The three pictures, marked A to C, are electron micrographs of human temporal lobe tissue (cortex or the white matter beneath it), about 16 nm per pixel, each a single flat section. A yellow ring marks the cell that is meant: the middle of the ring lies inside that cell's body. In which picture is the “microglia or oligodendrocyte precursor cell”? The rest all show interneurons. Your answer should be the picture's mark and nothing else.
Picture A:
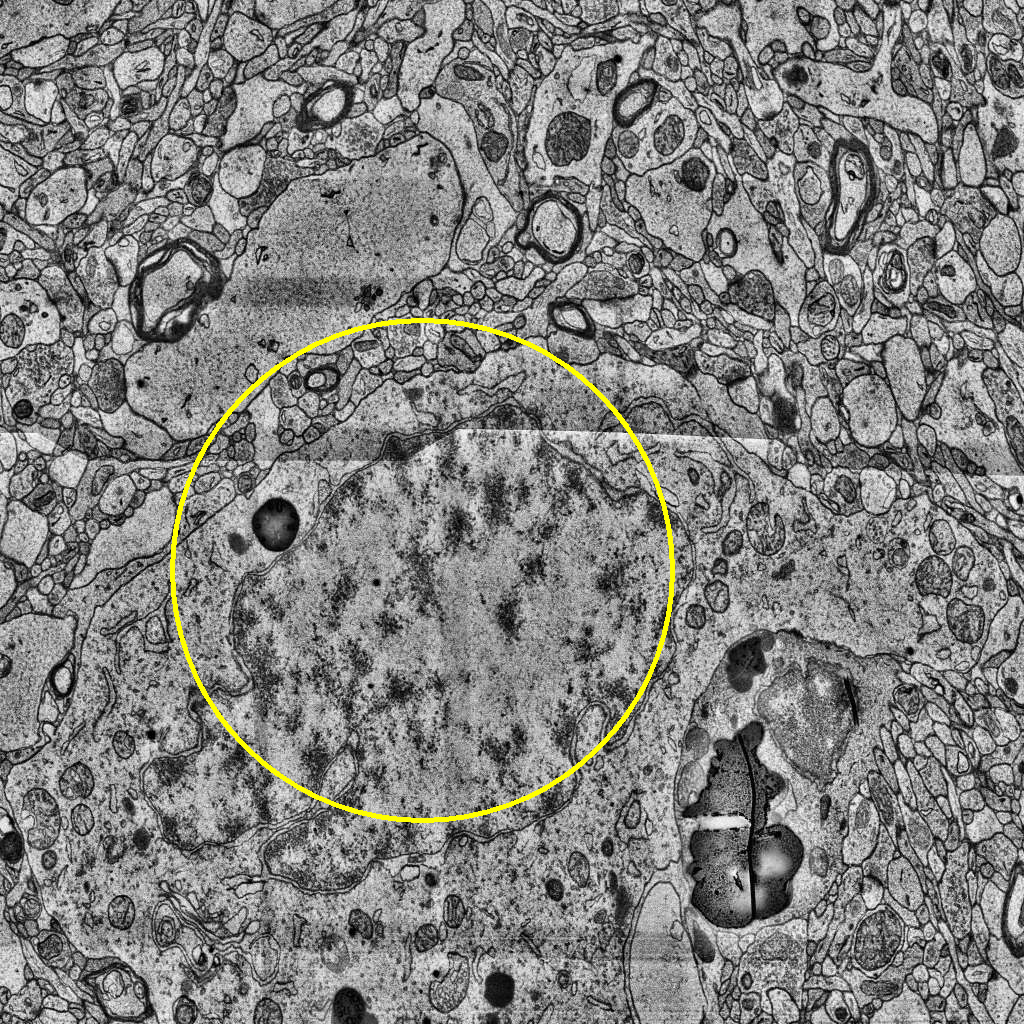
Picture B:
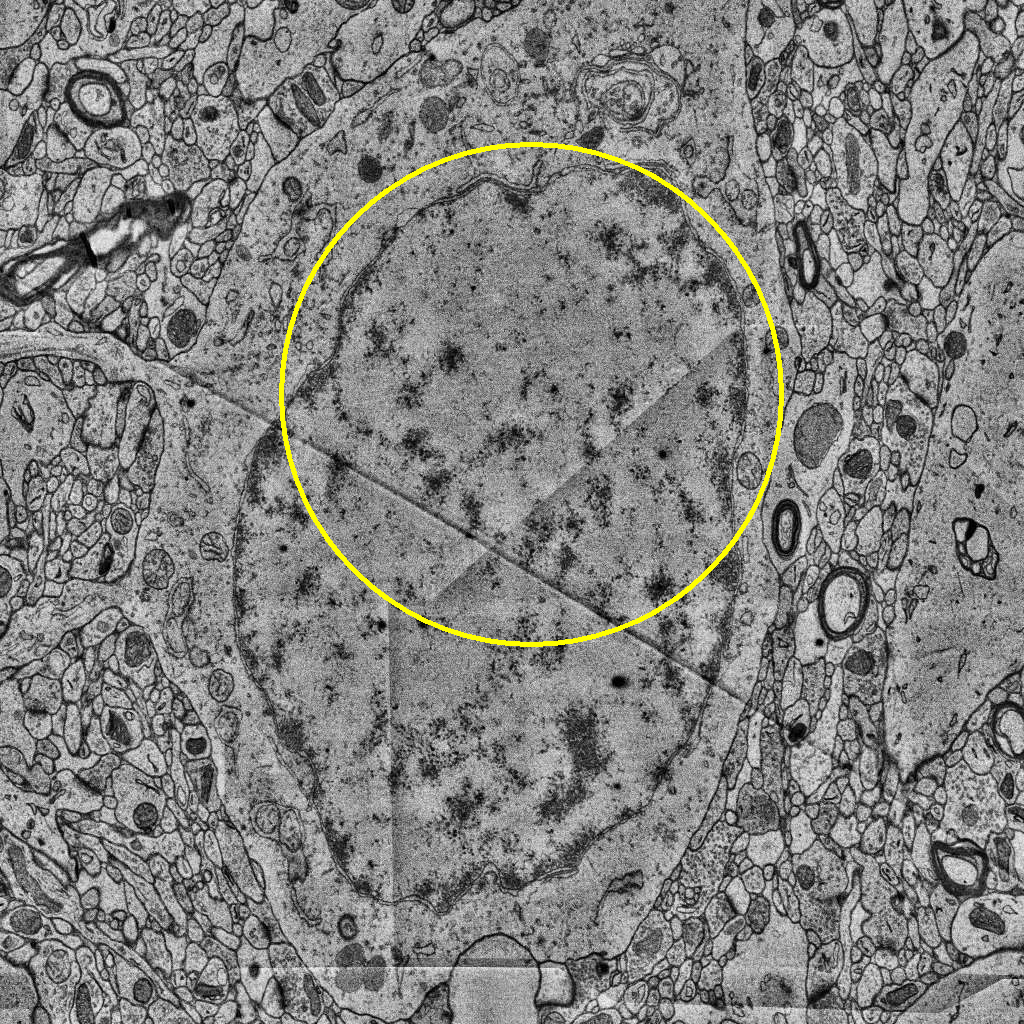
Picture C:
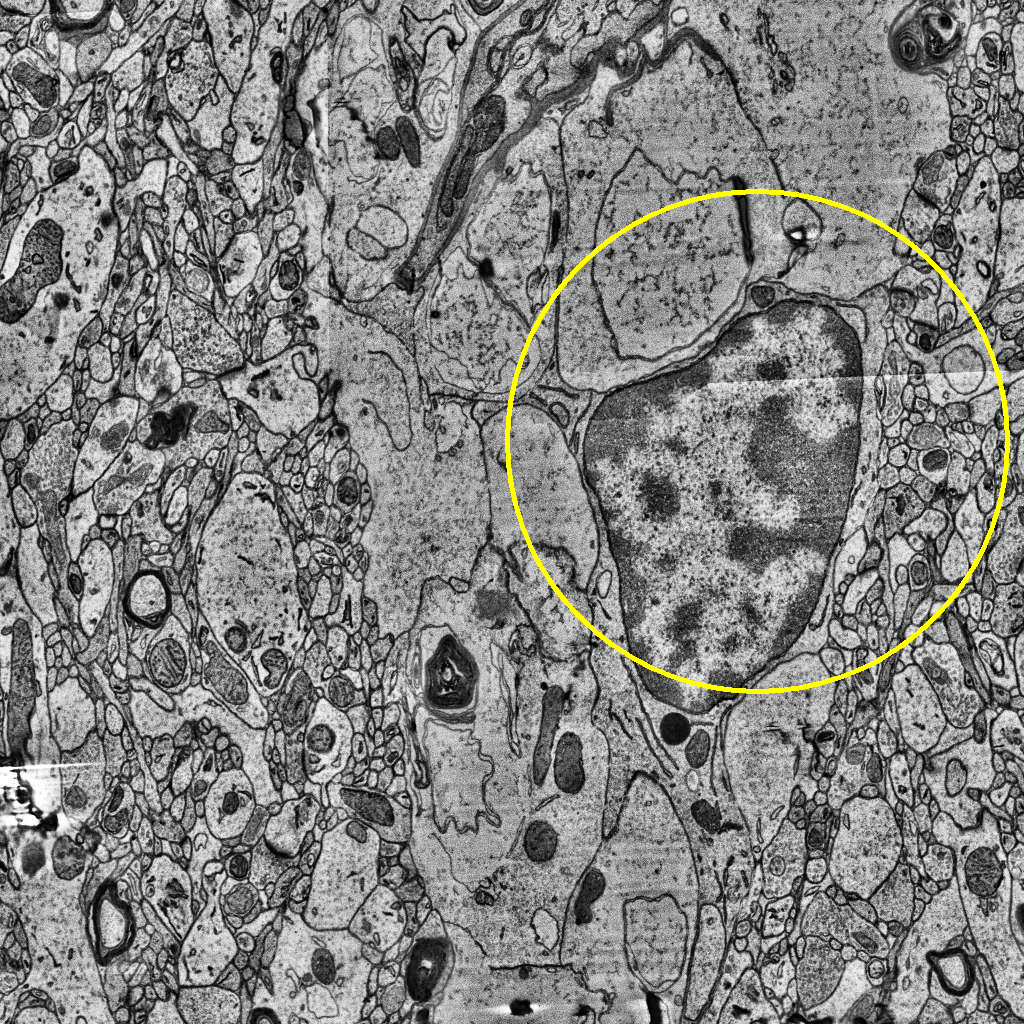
C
